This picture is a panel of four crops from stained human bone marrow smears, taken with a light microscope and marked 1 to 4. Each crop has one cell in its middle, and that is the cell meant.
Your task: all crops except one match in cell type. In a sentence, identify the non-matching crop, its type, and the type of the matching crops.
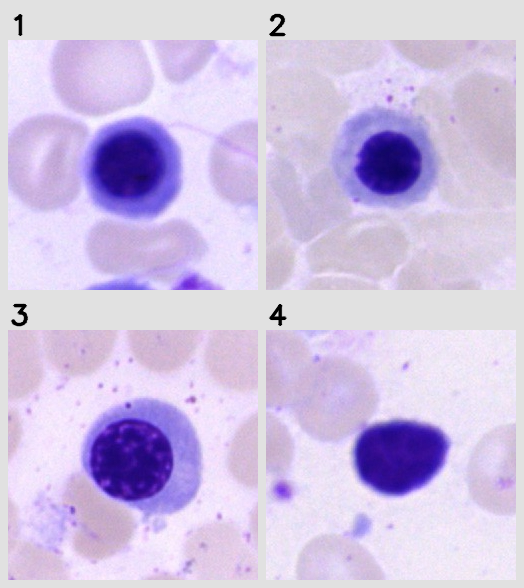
The single exception among the crops is crop 4, which is a lymphocyte; the rest show erythroblasts.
